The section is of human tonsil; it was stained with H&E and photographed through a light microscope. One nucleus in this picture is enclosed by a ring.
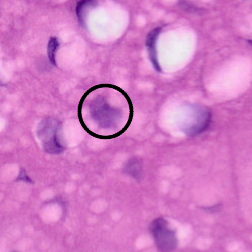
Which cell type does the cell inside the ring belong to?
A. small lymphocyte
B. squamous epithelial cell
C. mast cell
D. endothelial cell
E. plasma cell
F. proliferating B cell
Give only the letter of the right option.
B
